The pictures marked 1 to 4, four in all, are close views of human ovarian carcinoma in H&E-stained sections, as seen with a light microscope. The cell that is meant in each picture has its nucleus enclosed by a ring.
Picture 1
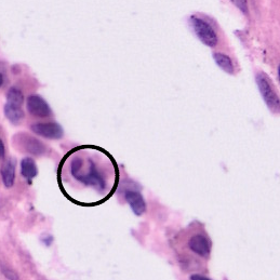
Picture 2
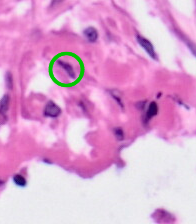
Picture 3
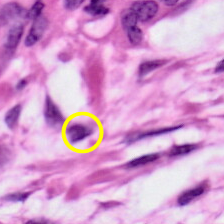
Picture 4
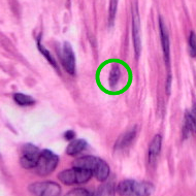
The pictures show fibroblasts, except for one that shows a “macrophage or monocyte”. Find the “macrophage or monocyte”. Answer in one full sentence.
It is picture 1 that shows the “macrophage or monocyte”.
